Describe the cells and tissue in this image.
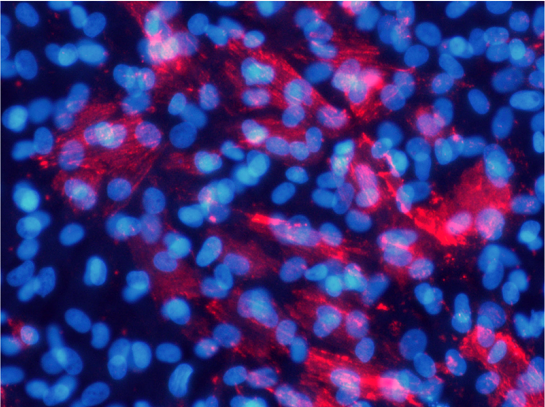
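Large parts of the field are filled with red fluorescence that takes the form of long, fine, parallel strands running through the cytoplasm of spread, elongated cells. These strands run in several directions in different cells and give a streaky, fibrillar texture to the red areas. Some cells show brighter, thicker red bundles along their edges. The nuclei are smooth, oval and fairly uniform in size, and many lie over or between the red-filled cytoplasm.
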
